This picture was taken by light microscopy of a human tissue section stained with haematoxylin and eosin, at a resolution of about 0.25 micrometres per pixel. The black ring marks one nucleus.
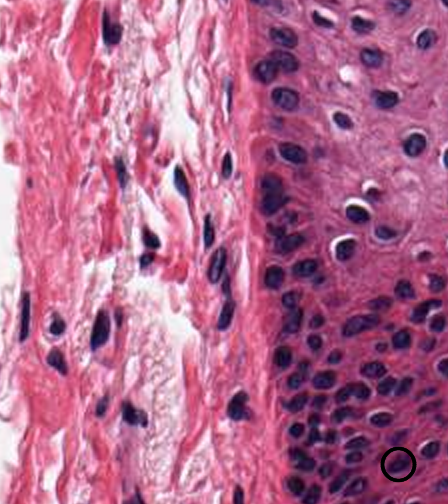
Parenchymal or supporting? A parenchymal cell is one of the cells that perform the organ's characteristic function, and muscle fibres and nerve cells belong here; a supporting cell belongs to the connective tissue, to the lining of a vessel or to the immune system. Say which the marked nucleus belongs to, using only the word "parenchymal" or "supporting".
parenchymal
